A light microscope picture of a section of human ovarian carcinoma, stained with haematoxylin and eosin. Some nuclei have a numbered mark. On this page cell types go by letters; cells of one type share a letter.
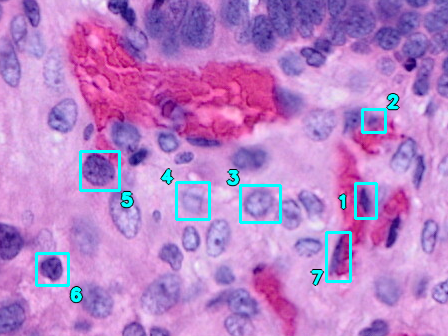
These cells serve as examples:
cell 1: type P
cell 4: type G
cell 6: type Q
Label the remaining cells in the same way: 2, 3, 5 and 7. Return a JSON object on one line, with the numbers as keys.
{"2": "type P", "3": "type G", "5": "type P", "7": "type P"}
